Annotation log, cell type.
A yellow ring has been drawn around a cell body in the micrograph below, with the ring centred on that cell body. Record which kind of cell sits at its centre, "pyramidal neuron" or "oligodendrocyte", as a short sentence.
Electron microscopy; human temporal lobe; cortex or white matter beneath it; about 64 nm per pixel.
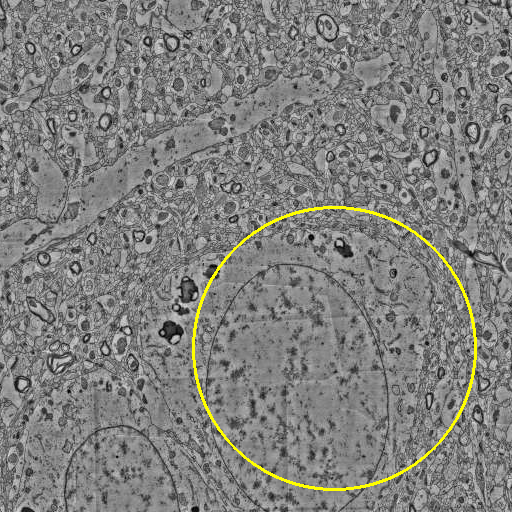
The cell at the centre of this ring is a pyramidal neuron.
